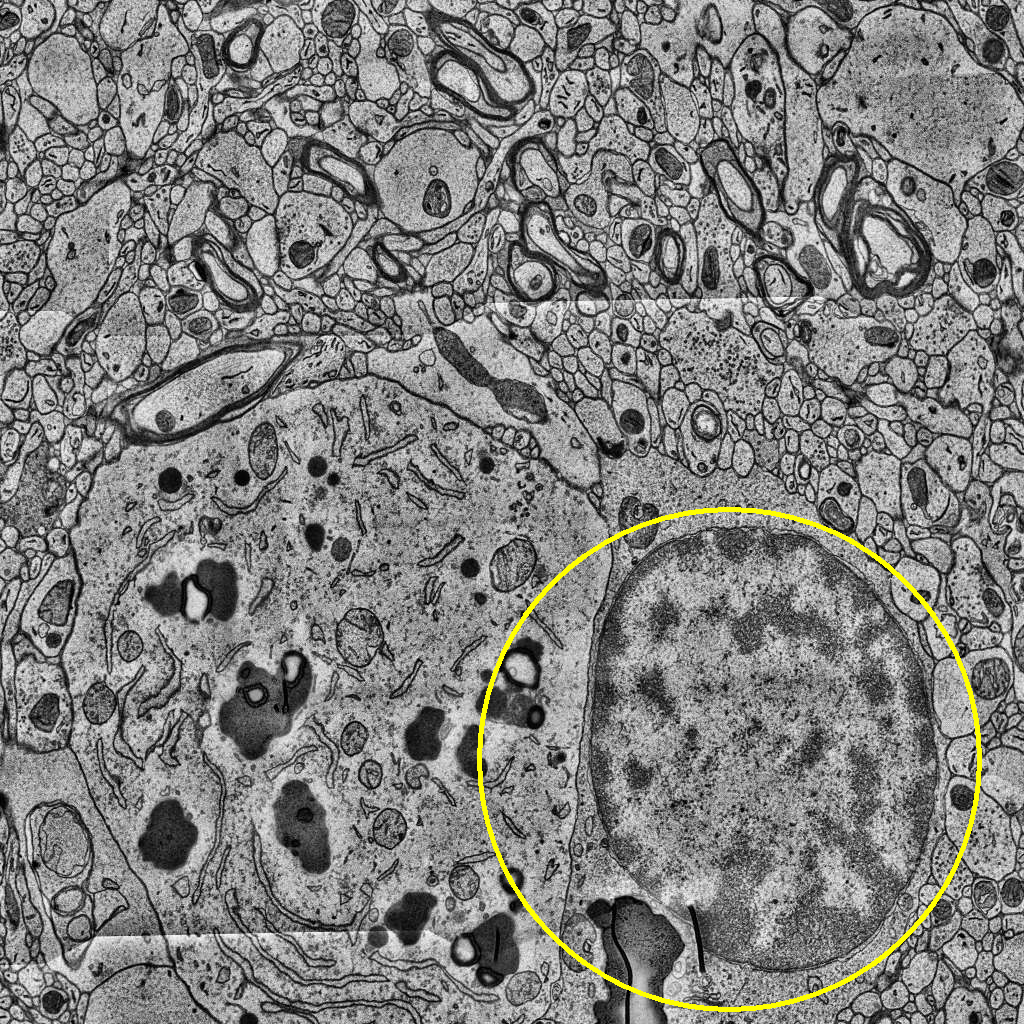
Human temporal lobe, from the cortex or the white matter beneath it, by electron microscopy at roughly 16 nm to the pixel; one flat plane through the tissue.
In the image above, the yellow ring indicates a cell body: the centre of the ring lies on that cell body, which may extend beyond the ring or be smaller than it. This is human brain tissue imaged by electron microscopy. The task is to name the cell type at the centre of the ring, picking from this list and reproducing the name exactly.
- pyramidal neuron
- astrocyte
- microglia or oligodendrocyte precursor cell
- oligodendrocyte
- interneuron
oligodendrocyte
